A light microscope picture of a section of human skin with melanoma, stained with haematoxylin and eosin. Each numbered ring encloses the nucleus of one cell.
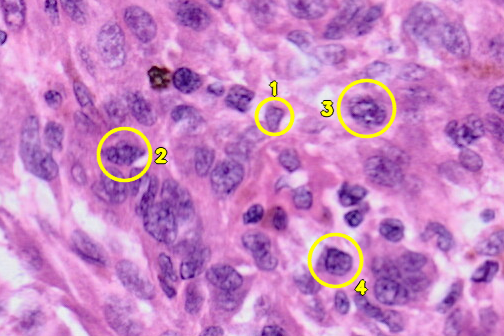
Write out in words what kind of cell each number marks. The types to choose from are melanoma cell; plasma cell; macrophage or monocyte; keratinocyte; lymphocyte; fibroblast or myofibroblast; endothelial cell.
Cell 1 is a macrophage or monocyte. Cells 2, 3 and 4 are melanoma cells.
